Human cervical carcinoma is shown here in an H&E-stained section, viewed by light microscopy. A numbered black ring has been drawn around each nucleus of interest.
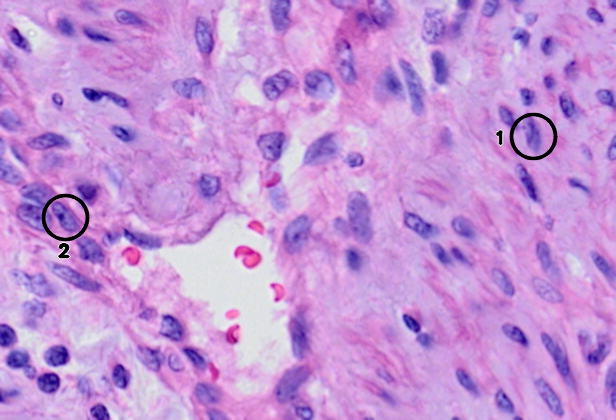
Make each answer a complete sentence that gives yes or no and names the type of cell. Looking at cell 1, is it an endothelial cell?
No, a smooth muscle cell is what cell 1 is, not an endothelial cell.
